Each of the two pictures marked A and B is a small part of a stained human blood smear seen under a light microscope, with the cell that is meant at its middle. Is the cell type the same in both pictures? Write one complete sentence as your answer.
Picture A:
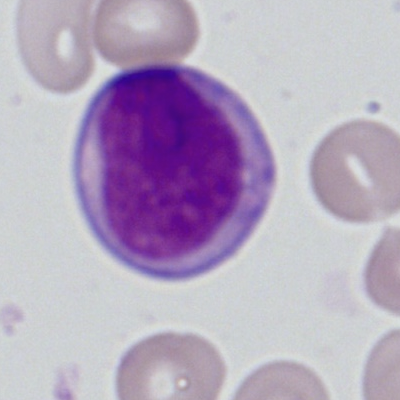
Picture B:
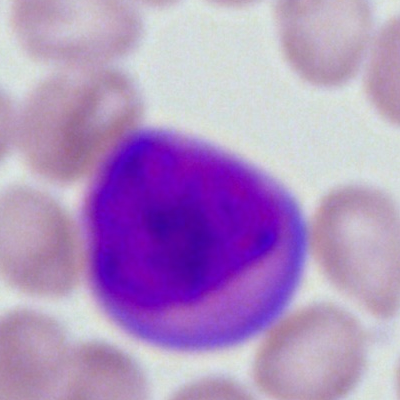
Yes, both cells are myeloblasts.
